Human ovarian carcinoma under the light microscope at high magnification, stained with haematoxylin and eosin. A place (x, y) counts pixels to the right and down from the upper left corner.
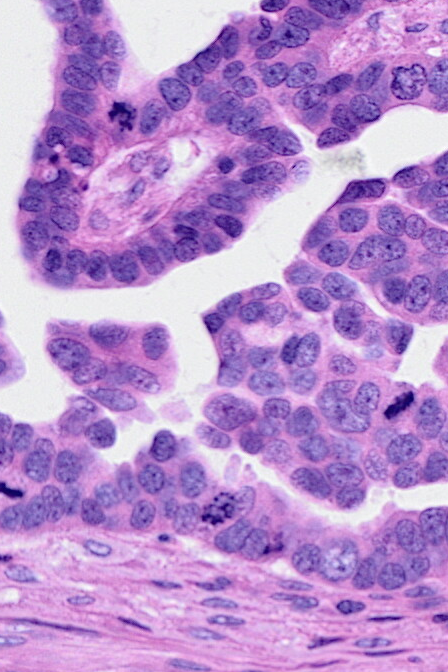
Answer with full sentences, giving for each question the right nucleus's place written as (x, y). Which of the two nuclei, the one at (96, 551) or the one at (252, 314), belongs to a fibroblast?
Heads up, the nucleus at (96, 551) is the one that belongs to a fibroblast.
